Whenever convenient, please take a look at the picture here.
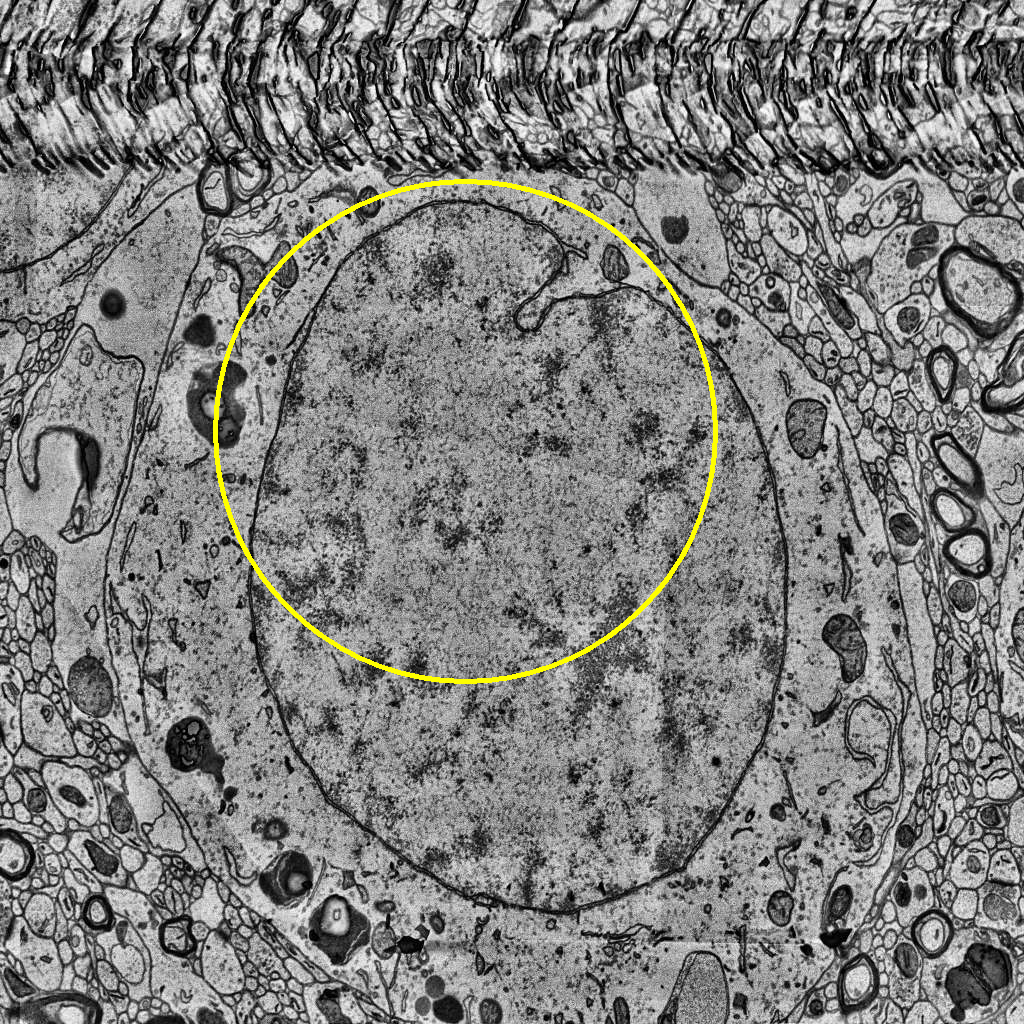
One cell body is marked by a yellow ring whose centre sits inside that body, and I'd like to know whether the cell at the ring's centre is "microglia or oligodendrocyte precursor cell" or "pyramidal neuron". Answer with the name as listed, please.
pyramidal neuron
